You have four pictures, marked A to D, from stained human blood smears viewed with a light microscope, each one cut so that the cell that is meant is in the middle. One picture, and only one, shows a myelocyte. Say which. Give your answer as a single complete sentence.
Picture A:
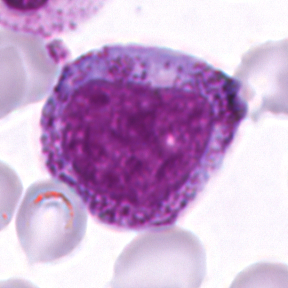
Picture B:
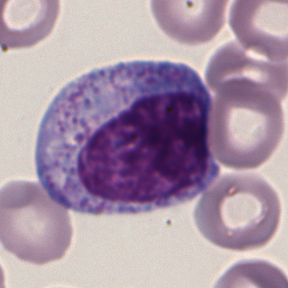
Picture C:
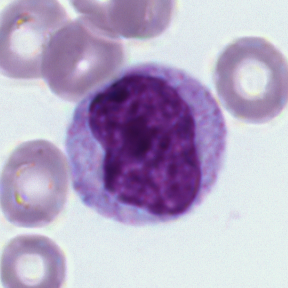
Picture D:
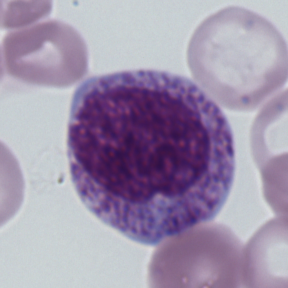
The myelocyte is the one in picture C.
